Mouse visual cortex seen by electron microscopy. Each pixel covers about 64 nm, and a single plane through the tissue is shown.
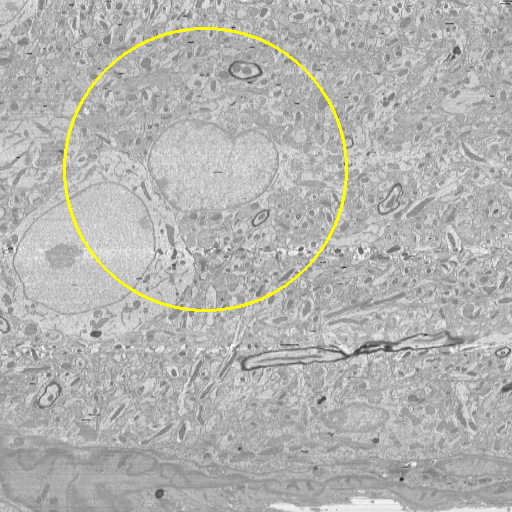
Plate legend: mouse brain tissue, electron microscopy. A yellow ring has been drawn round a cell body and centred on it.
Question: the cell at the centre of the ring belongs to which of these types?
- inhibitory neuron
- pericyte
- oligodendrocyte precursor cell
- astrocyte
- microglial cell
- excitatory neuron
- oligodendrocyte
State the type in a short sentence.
The cell in the middle of the ring is an astrocyte.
